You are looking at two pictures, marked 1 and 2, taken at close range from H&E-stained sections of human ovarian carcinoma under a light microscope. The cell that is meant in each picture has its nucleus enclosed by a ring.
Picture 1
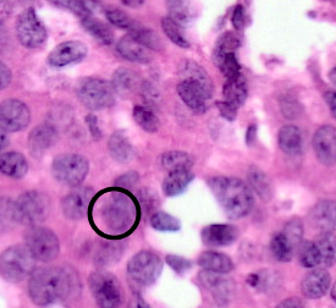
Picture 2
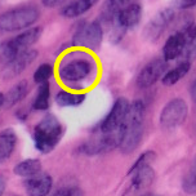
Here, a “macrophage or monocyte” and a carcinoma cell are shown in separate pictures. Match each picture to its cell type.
1: carcinoma cell
2: macrophage or monocyte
